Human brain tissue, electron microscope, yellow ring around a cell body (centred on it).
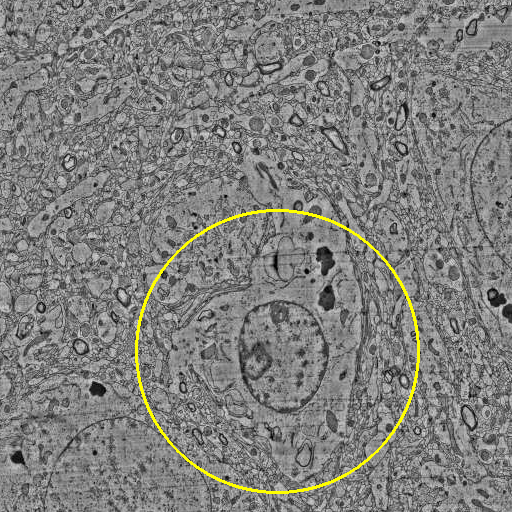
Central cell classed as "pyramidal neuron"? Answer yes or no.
no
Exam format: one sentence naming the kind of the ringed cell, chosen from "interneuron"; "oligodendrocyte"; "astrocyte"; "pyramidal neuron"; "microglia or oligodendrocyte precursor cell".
The cell shown in the ring is an astrocyte.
